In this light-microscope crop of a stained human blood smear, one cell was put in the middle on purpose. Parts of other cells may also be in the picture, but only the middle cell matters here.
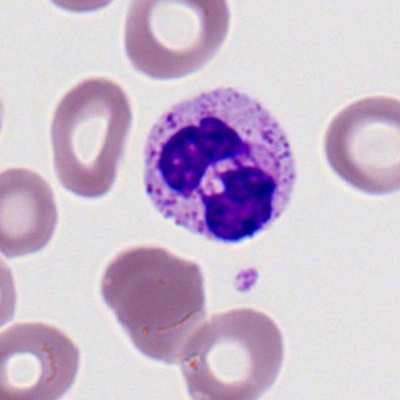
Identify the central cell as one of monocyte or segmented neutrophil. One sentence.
At the center of the crop sits a segmented neutrophil.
